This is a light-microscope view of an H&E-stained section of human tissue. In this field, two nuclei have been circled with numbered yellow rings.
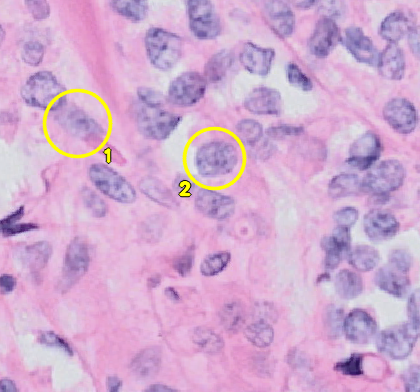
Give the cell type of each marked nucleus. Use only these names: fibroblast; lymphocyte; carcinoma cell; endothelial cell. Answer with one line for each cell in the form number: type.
1: endothelial cell
2: carcinoma cell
